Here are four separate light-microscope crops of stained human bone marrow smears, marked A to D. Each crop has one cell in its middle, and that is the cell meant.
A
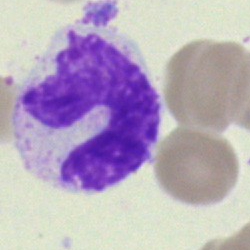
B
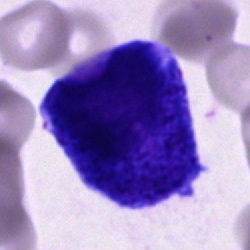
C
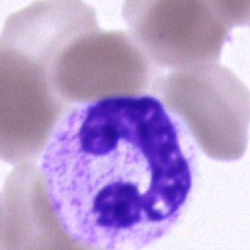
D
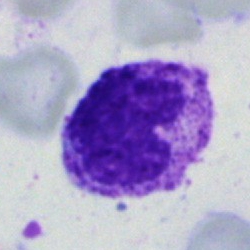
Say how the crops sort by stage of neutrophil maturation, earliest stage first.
B, D, A, C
